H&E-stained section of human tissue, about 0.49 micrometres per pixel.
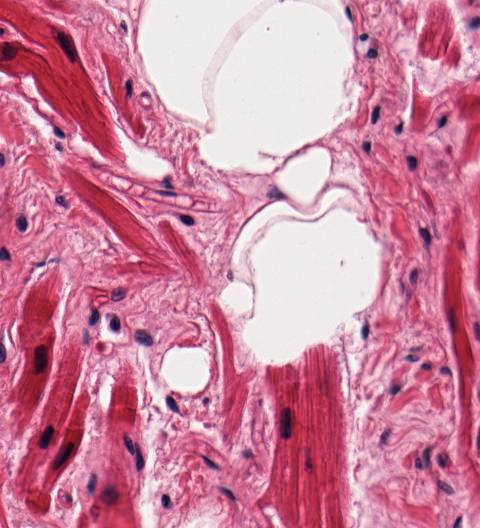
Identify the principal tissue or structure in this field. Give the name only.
myocardium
